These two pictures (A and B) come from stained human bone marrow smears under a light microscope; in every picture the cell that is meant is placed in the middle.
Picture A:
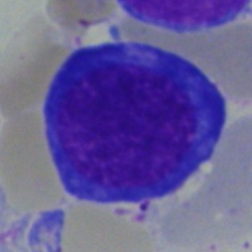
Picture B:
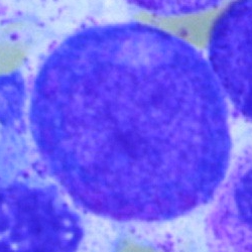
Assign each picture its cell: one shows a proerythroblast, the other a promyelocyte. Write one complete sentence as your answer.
The cell in picture A is a proerythroblast, and the one in picture B is a promyelocyte.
